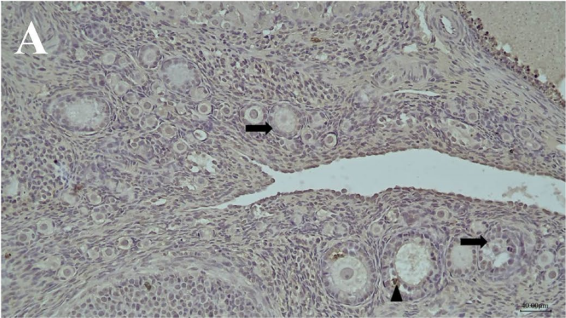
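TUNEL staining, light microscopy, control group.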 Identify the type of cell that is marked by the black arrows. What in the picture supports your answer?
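Normal ovarian follicle epithelial cell. The arrows point at small follicles, each with a central round oocyte. The oocyte is ringed by a layer of small cells with blue-purple nuclei. The cells lining these follicles are not stained brown.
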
